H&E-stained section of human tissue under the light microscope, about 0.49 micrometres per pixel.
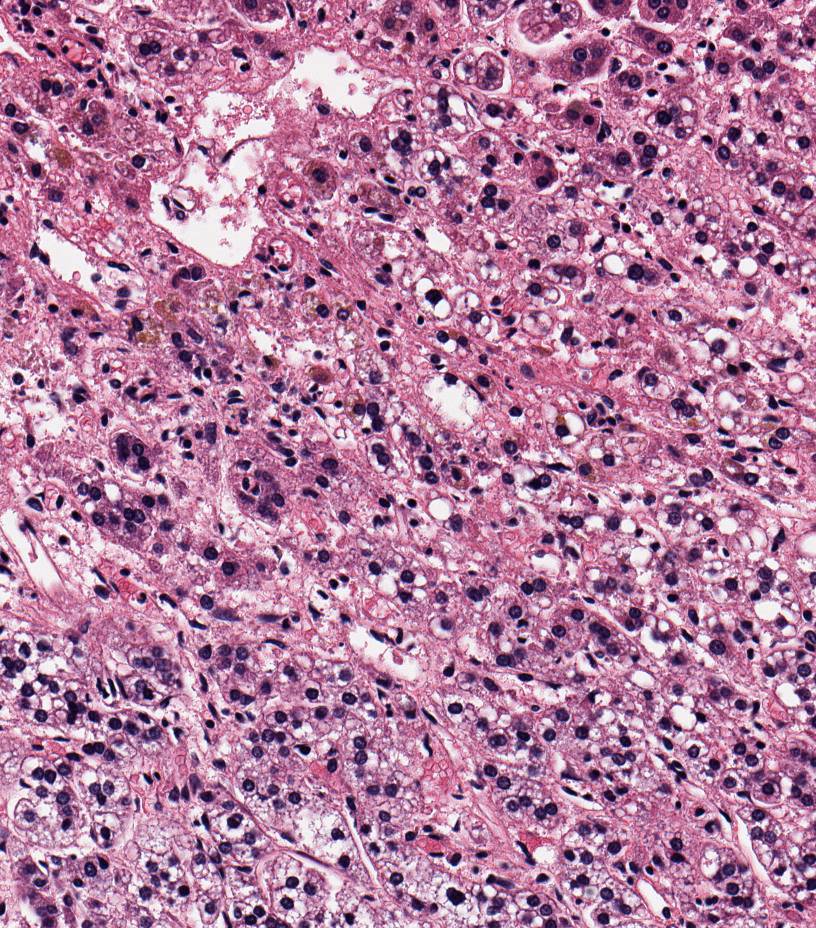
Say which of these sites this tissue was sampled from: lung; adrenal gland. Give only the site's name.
adrenal gland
